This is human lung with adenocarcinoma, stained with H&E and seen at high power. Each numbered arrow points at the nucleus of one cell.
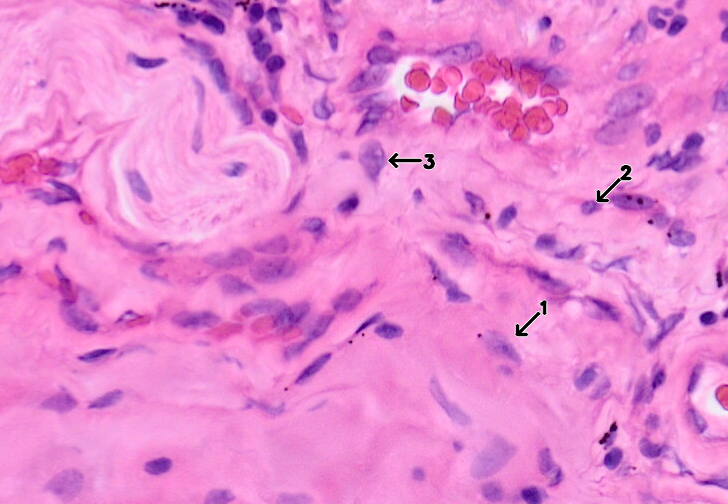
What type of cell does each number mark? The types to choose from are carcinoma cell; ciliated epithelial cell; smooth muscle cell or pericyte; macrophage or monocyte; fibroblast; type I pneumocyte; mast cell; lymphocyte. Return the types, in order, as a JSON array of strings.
["fibroblast", "mast cell", "fibroblast"]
